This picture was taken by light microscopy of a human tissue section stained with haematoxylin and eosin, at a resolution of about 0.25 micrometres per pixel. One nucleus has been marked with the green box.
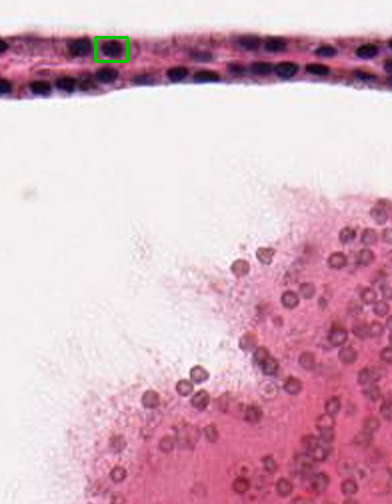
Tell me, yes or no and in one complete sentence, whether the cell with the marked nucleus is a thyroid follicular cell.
Yes, the marked nucleus, as shown, belongs to a thyroid follicular cell.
